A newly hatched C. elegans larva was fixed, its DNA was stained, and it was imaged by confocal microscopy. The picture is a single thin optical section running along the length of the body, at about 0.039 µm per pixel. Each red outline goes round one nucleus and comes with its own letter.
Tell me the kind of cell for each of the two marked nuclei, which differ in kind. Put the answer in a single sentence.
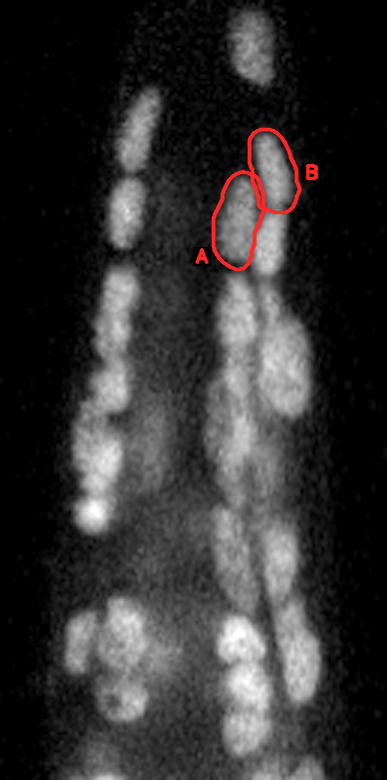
A belongs to a pharyngeal epithelial cell and B to a hypodermal cell (hyp).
